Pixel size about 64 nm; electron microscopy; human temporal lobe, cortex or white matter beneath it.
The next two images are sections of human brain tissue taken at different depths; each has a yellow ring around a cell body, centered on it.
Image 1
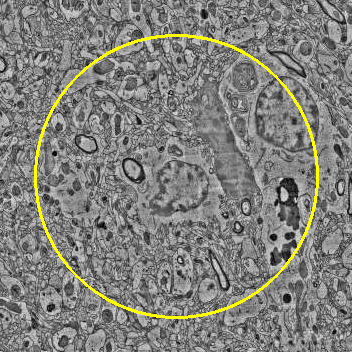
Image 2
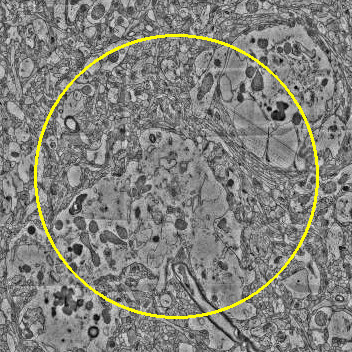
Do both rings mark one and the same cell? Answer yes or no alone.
no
